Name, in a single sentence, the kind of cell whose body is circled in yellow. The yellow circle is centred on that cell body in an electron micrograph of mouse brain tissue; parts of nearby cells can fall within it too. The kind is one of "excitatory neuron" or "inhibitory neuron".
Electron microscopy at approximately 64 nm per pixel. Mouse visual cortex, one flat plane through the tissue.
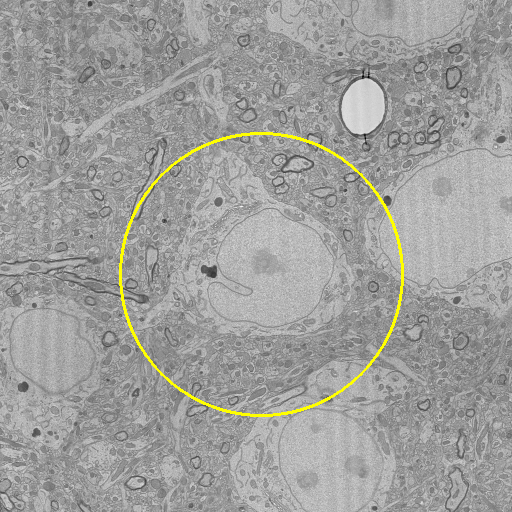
The circled cell body belongs to an excitatory neuron.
